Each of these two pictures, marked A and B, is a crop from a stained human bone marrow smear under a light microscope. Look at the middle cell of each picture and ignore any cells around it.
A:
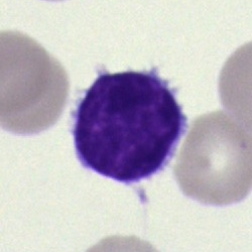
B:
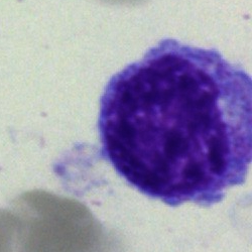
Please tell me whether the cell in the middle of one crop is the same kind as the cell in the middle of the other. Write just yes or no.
no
